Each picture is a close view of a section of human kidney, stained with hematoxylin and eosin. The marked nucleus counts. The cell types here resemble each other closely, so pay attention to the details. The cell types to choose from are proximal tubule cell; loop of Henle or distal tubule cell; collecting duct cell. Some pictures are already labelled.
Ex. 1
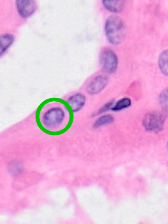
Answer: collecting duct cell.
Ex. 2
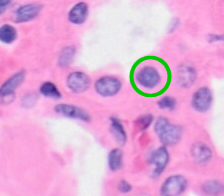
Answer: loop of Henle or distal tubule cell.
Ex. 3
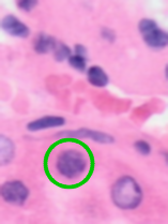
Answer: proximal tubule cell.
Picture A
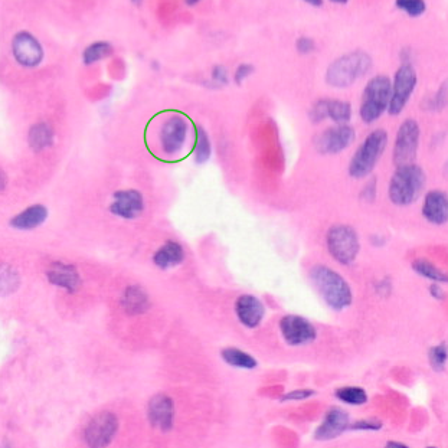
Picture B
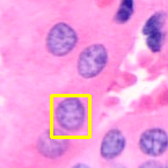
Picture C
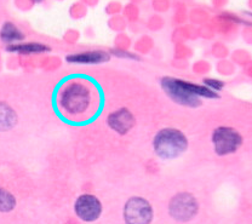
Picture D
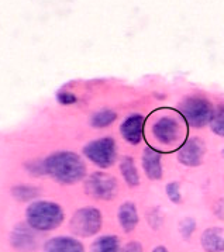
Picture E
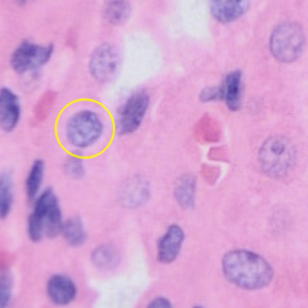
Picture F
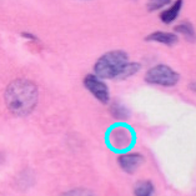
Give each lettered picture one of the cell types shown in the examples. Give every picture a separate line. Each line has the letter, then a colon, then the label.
A: loop of Henle or distal tubule cell.
B: proximal tubule cell.
C: proximal tubule cell.
D: collecting duct cell.
E: loop of Henle or distal tubule cell.
F: collecting duct cell.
